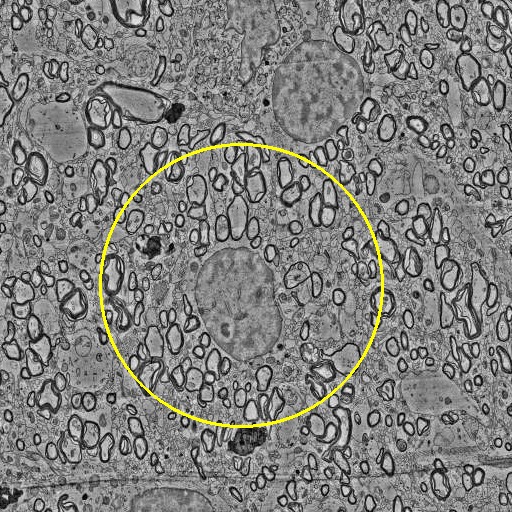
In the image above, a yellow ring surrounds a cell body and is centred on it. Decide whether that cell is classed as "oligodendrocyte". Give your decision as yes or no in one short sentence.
Yes, it is classed as that kind.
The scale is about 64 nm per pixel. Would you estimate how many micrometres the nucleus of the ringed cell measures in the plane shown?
The nucleus measures about 7 by 5 micrometres in this plane.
